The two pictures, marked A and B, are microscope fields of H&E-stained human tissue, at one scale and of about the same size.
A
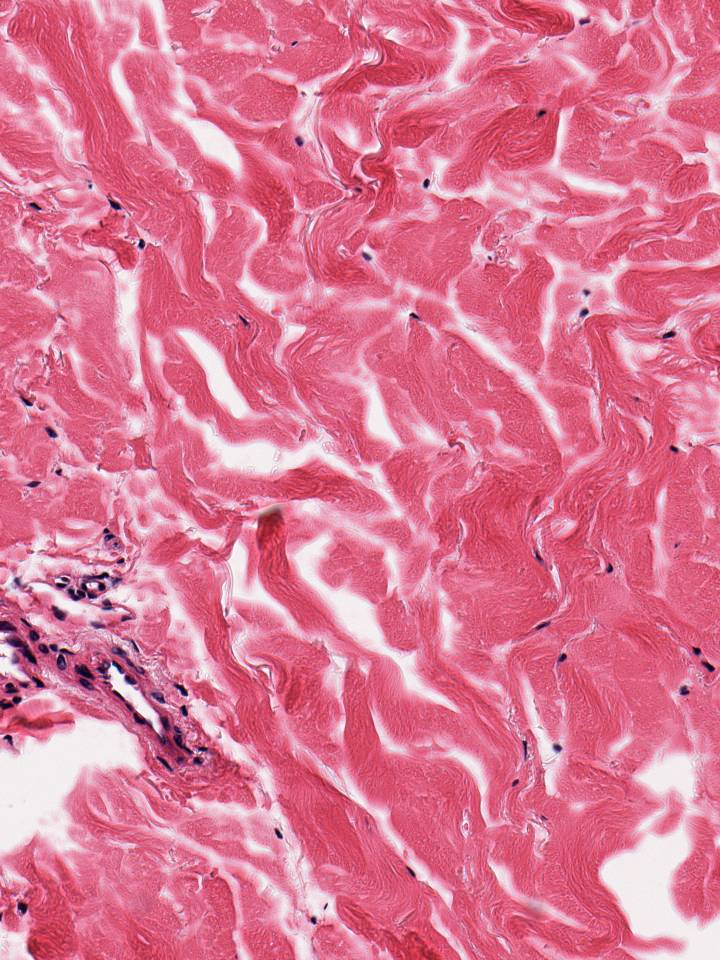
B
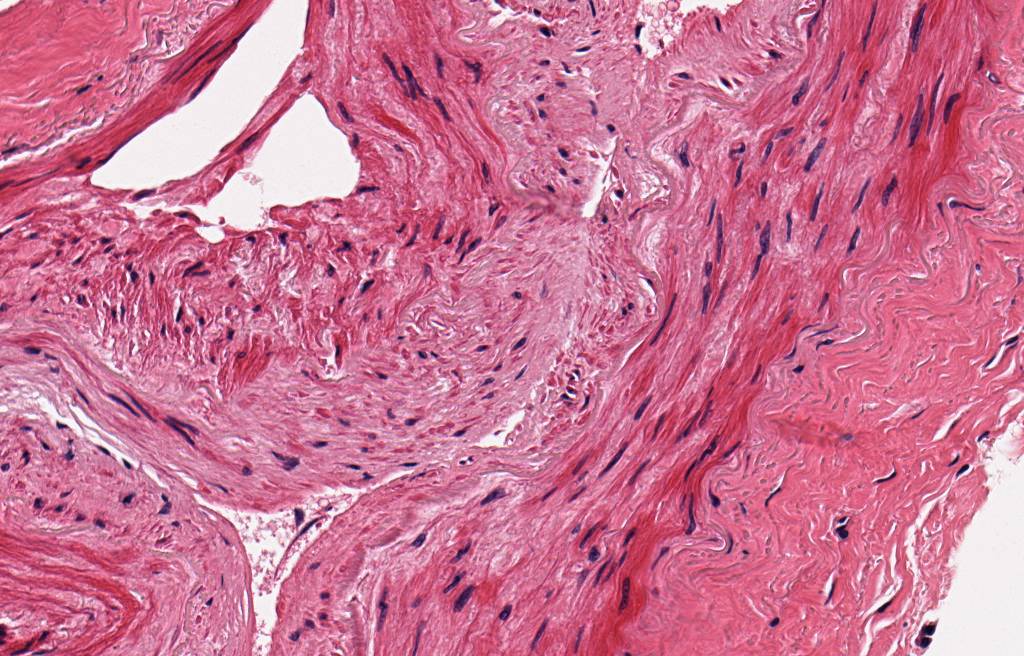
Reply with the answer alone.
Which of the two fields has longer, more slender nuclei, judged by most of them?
B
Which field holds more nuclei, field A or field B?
B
